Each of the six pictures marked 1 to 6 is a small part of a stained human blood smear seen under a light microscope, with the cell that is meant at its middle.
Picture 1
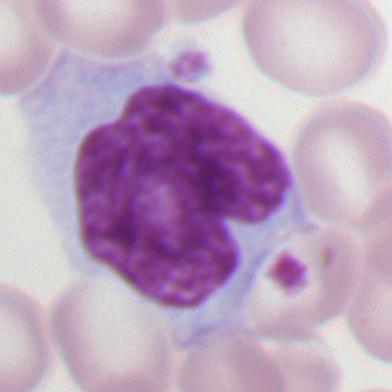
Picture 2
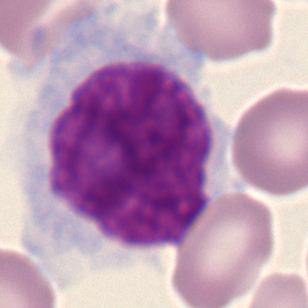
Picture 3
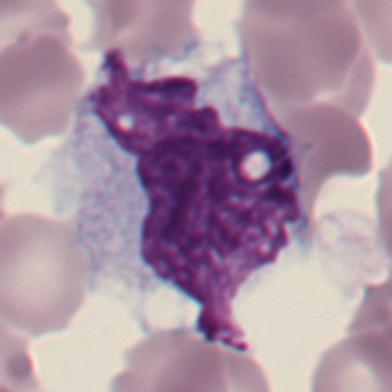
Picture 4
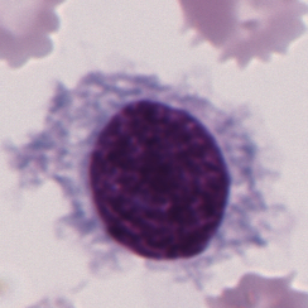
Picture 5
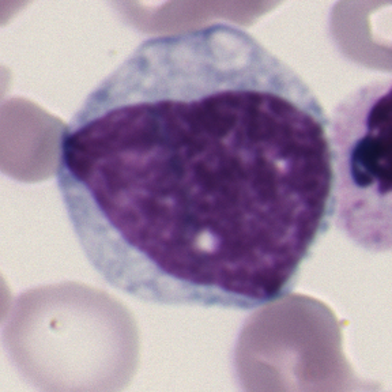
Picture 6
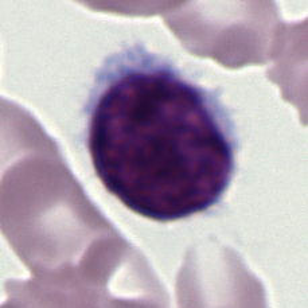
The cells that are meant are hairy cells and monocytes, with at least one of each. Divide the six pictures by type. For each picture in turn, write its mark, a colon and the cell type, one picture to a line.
1: monocyte
2: hairy cell
3: monocyte
4: hairy cell
5: monocyte
6: hairy cell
